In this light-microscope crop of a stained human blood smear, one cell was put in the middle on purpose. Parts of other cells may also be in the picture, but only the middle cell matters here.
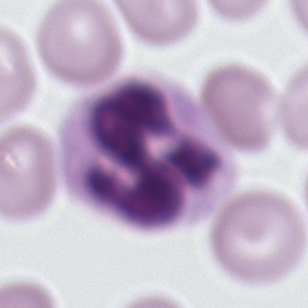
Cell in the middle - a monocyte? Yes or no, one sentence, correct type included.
No, the cell found centrally in the crop is a segmented neutrophil, not a monocyte.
